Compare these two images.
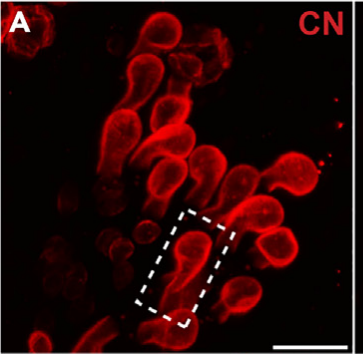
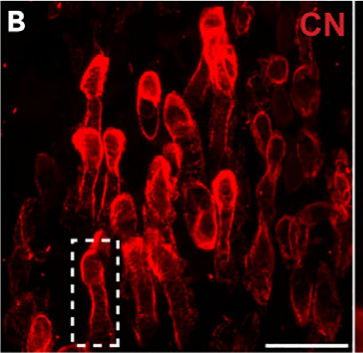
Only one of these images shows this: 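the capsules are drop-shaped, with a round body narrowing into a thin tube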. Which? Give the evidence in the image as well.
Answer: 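The first image. Second image: the capsules are elongated, with tubes nearly as wide as the small bodies. First image: round capsule bodies taper sharply into narrow tubes, like drops.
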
